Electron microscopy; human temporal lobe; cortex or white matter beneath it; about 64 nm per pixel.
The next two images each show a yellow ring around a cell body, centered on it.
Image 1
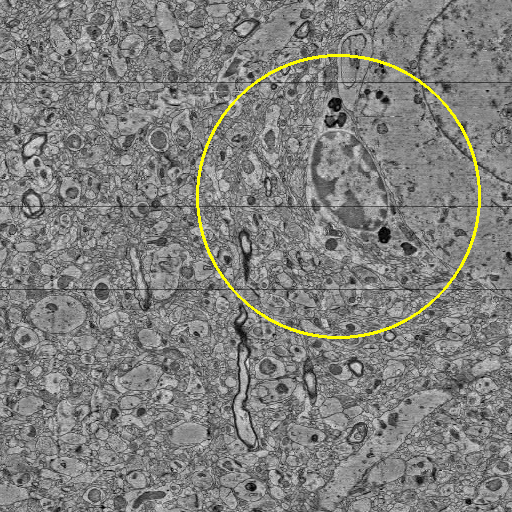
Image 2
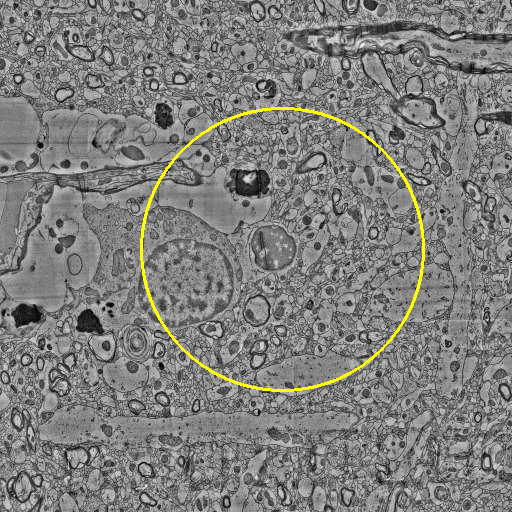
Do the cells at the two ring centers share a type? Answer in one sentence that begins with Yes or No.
Yes, across the two images the cells at the ring centers share one type.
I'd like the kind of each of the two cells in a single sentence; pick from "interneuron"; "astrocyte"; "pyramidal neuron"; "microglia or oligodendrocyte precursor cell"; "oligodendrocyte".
The cell in the first picture is a microglial cell or oligodendrocyte precursor cell, and so is the one in the second.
